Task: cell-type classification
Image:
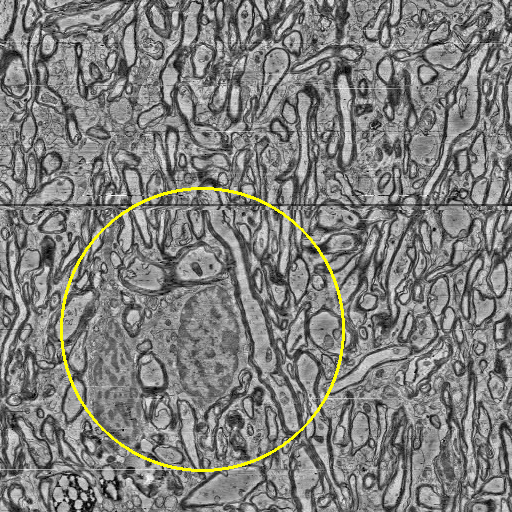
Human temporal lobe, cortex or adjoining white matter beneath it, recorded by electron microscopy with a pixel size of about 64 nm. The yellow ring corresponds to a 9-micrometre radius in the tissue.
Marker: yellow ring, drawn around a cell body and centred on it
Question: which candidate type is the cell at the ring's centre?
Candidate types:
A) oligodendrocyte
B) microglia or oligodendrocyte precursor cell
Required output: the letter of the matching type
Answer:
A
